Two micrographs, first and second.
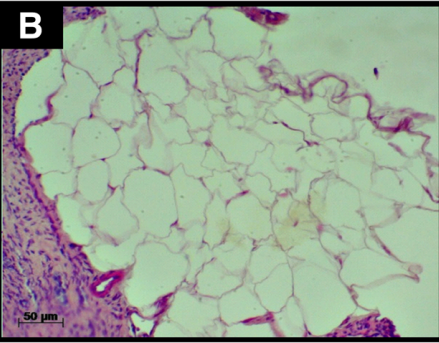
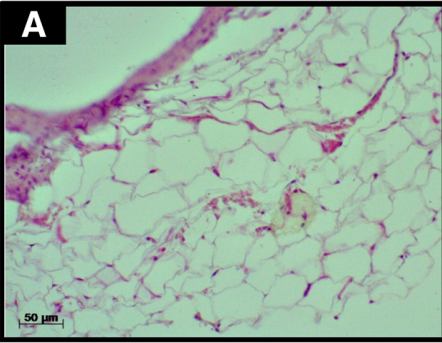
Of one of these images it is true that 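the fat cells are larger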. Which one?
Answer: the first image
